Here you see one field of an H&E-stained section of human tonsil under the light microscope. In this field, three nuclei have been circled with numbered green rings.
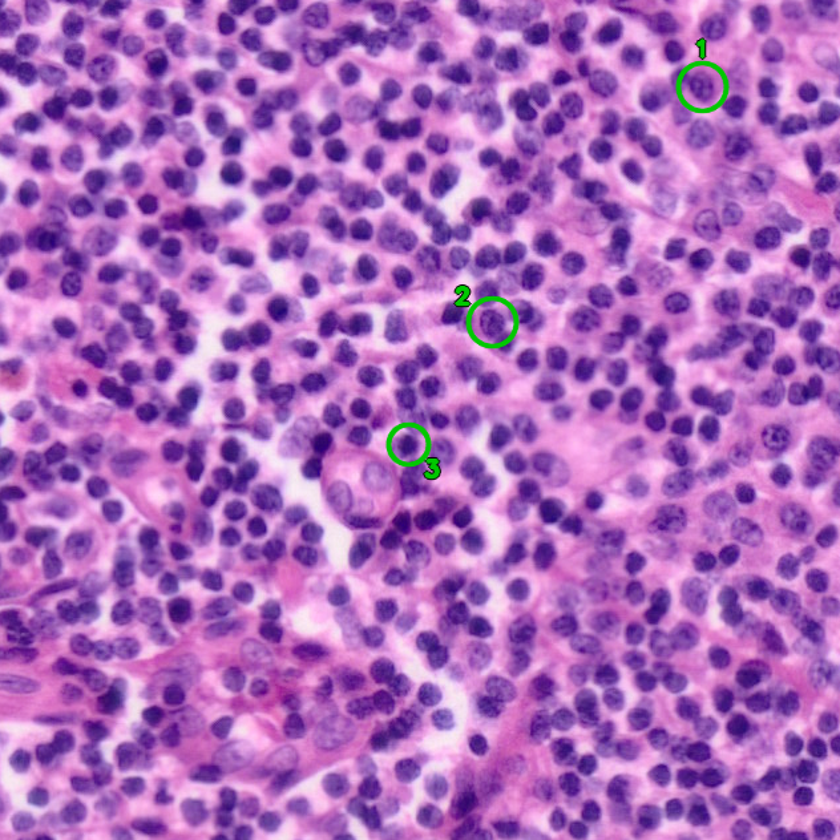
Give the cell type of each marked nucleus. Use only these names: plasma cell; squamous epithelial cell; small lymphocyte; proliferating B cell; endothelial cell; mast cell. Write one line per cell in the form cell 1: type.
cell 1: plasma cell
cell 2: plasma cell
cell 3: small lymphocyte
